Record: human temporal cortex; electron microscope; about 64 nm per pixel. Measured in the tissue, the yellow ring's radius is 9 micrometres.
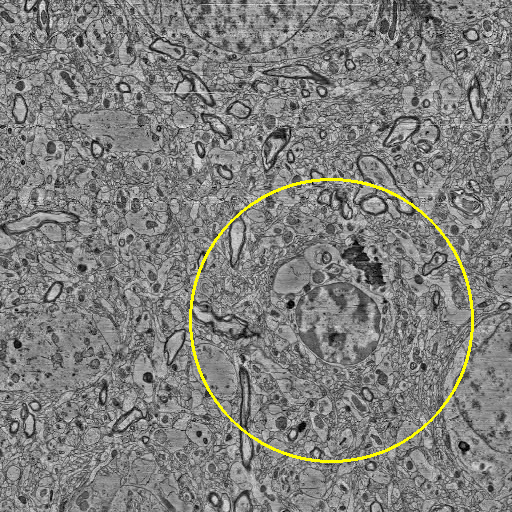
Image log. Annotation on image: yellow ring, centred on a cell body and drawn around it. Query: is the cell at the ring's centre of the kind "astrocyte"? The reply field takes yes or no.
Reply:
no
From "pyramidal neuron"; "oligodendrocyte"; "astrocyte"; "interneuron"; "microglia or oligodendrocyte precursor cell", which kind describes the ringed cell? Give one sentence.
The cell this ring marks is a microglial cell or oligodendrocyte precursor cell.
